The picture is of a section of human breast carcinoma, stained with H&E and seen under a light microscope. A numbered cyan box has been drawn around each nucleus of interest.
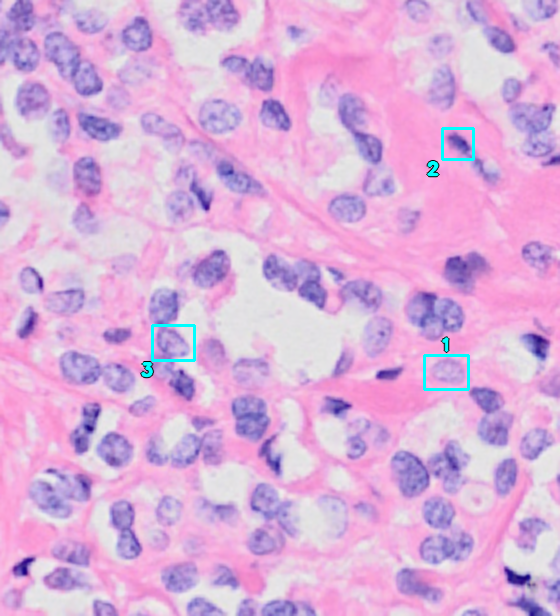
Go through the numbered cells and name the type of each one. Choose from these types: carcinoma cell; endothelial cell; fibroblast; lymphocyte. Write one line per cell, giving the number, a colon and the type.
1: carcinoma cell
2: endothelial cell
3: carcinoma cell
